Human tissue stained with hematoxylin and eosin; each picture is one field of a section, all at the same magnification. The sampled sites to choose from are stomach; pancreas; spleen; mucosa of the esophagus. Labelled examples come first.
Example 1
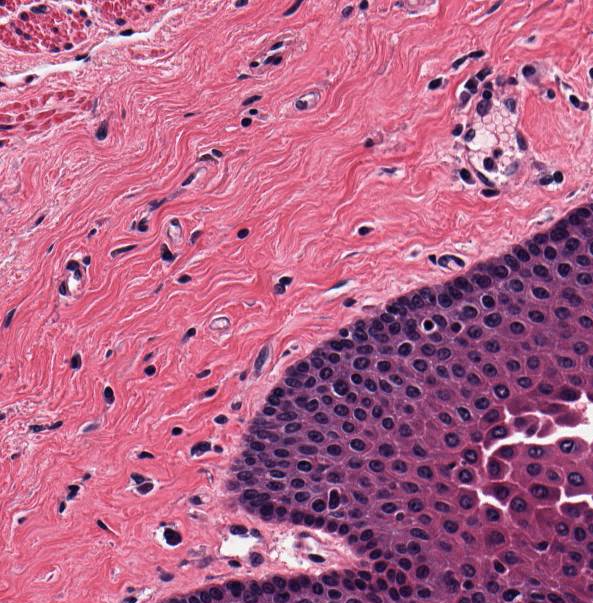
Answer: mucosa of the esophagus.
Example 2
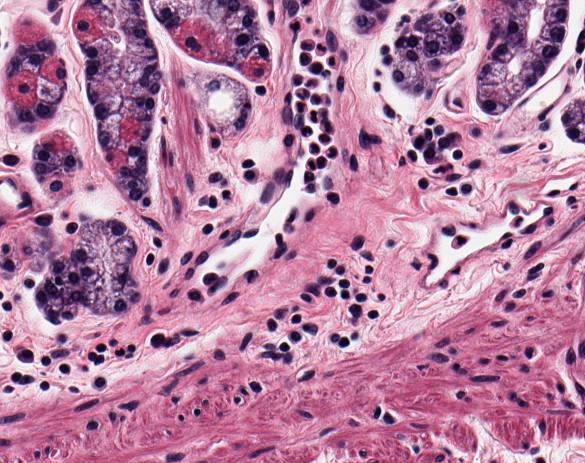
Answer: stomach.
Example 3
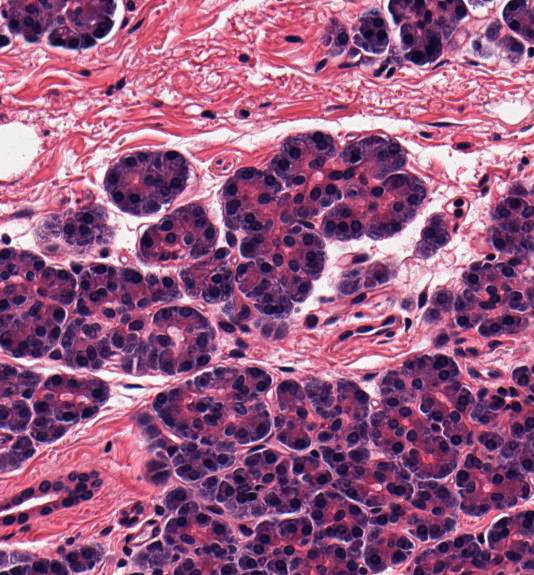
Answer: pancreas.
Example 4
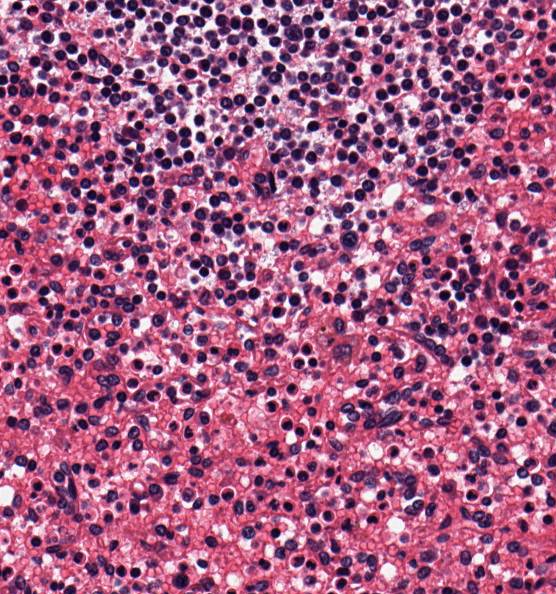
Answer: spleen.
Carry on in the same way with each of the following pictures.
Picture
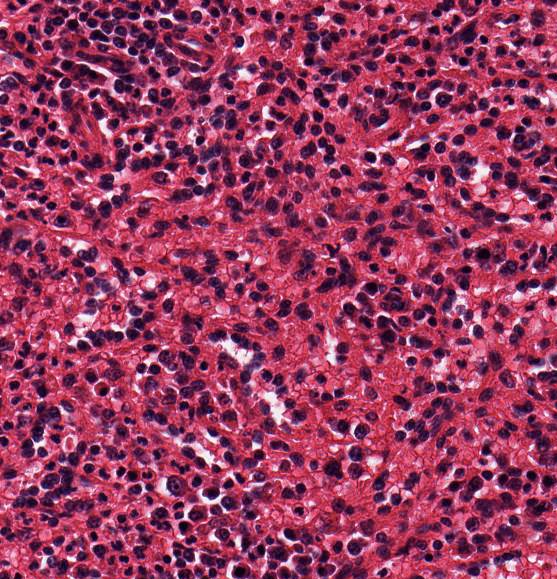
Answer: spleen.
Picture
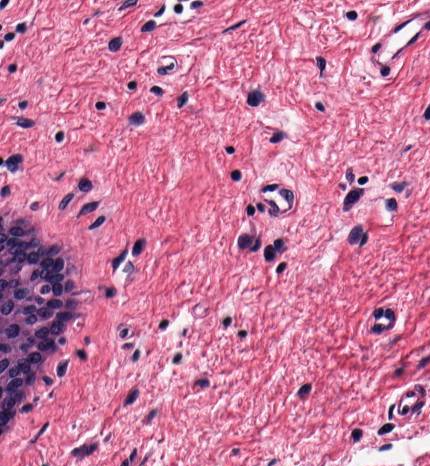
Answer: mucosa of the esophagus.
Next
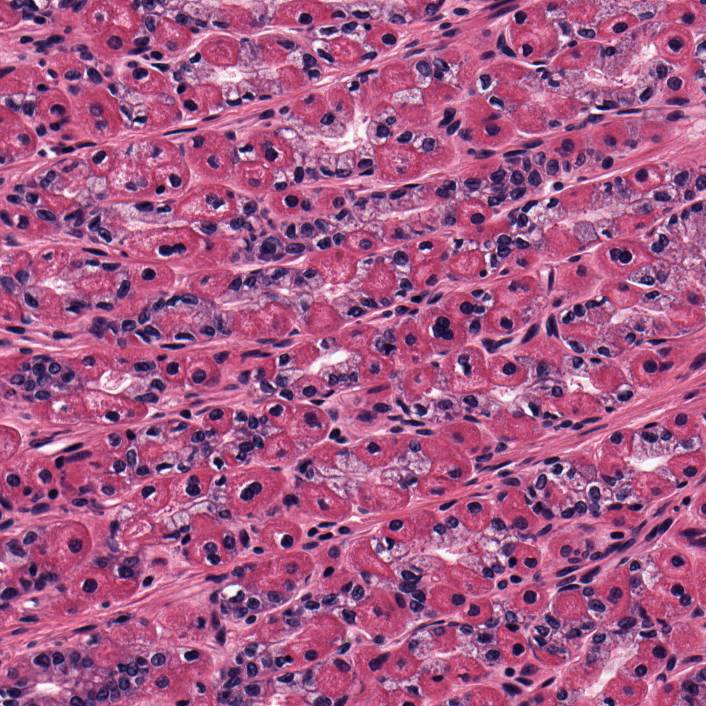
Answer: stomach.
